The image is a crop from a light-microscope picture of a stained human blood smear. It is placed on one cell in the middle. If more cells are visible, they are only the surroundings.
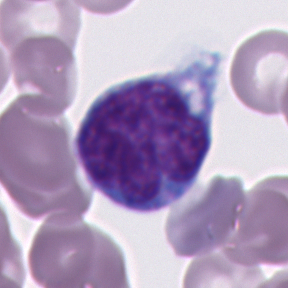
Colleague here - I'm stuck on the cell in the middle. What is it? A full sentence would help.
The middle position in this crop is taken by a monocyte.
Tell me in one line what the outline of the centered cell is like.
An uneven margin is present, with either ragged stretches or outward projections.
